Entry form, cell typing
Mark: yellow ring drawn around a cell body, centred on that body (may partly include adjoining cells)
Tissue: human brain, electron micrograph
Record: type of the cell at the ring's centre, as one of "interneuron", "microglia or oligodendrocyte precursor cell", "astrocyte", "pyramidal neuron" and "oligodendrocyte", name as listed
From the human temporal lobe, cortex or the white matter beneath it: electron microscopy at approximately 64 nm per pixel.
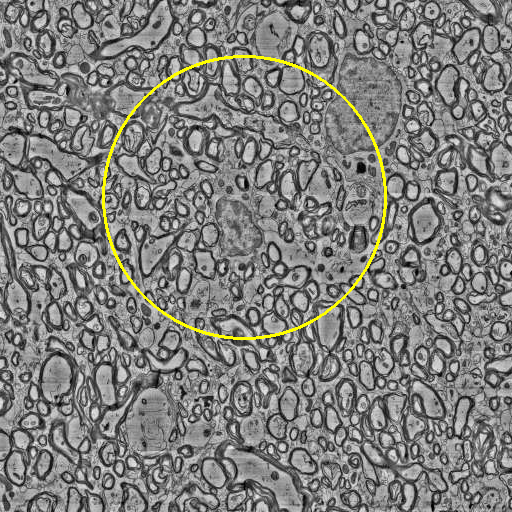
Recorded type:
oligodendrocyte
